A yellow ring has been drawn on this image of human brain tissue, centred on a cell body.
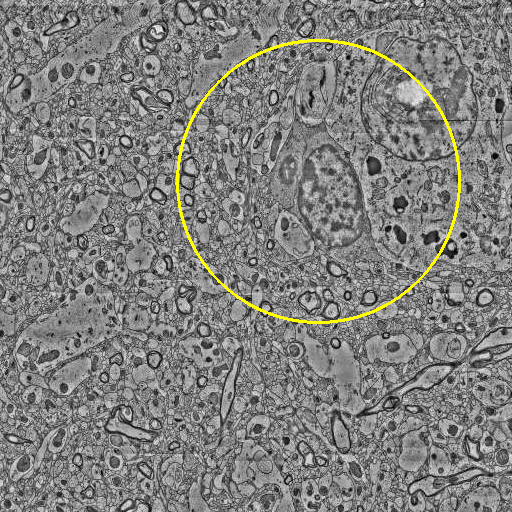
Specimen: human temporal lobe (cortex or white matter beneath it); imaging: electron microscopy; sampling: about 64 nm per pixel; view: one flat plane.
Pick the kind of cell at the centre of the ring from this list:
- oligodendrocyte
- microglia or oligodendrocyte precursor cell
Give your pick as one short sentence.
The centre of the ring holds an oligodendrocyte.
